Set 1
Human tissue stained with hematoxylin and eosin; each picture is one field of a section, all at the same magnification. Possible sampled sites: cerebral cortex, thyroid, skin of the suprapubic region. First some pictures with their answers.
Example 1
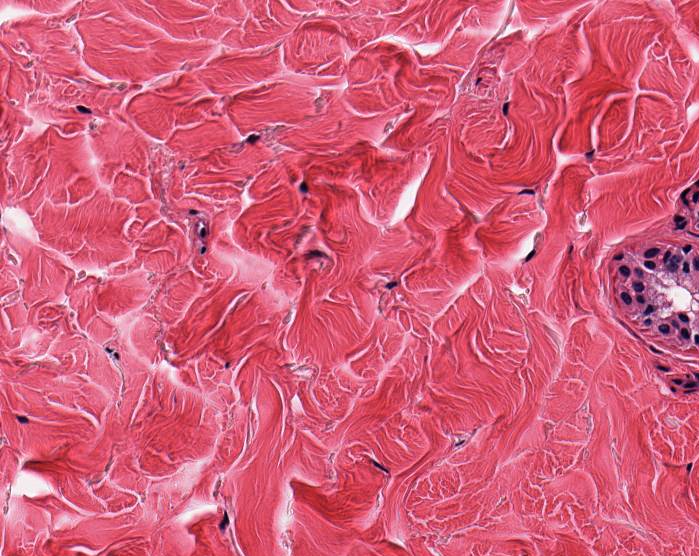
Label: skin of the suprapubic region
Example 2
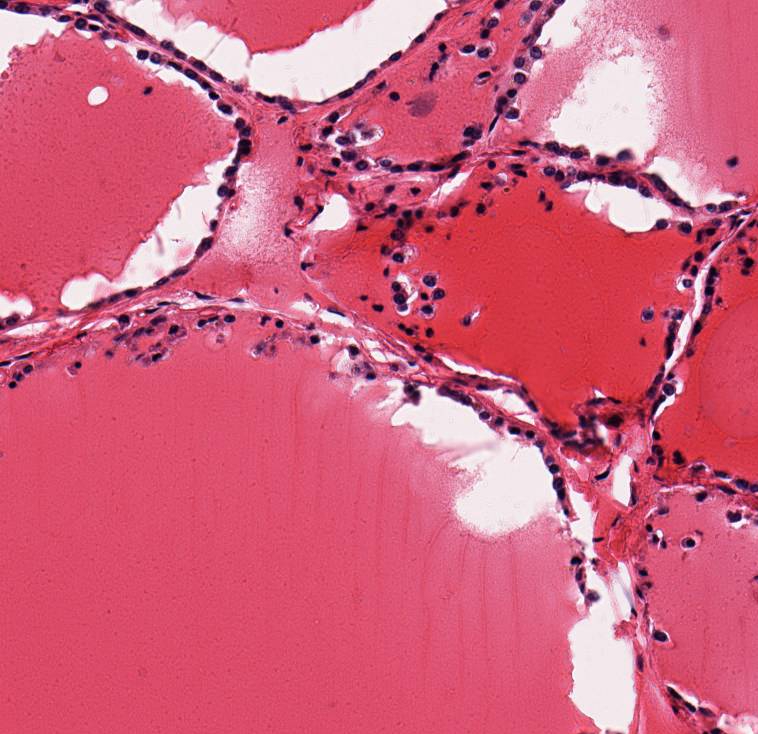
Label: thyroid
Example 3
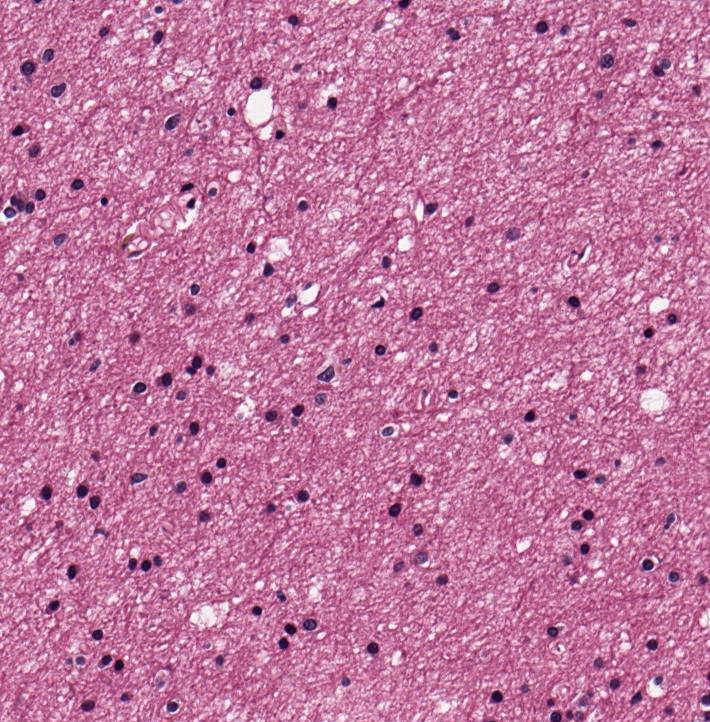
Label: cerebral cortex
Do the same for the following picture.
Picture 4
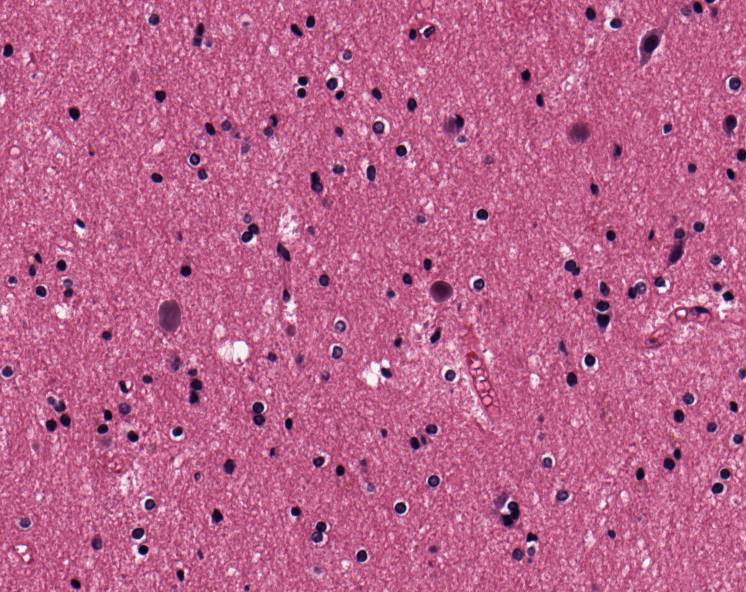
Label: cerebral cortex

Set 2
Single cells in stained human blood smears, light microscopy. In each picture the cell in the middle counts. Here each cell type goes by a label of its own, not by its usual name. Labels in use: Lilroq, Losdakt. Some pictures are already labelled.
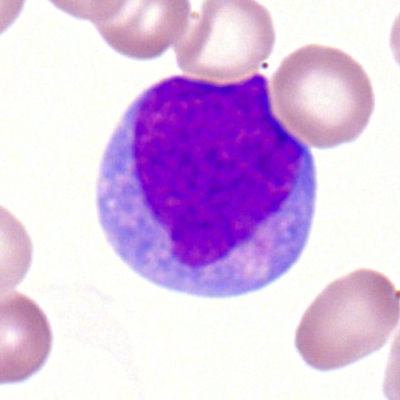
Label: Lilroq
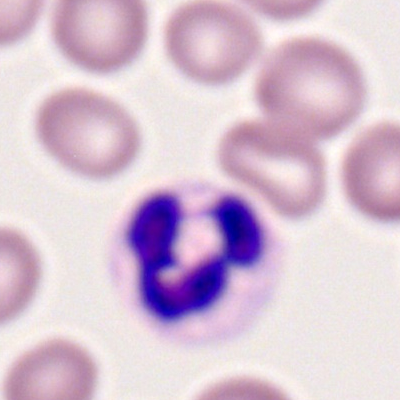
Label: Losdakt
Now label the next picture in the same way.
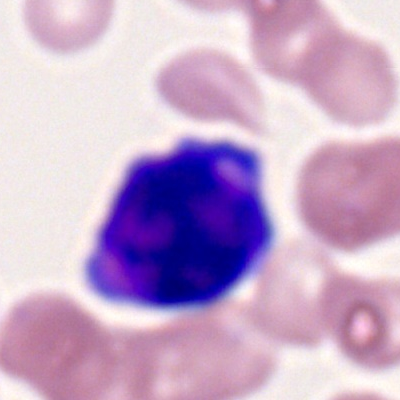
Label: Lilroq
